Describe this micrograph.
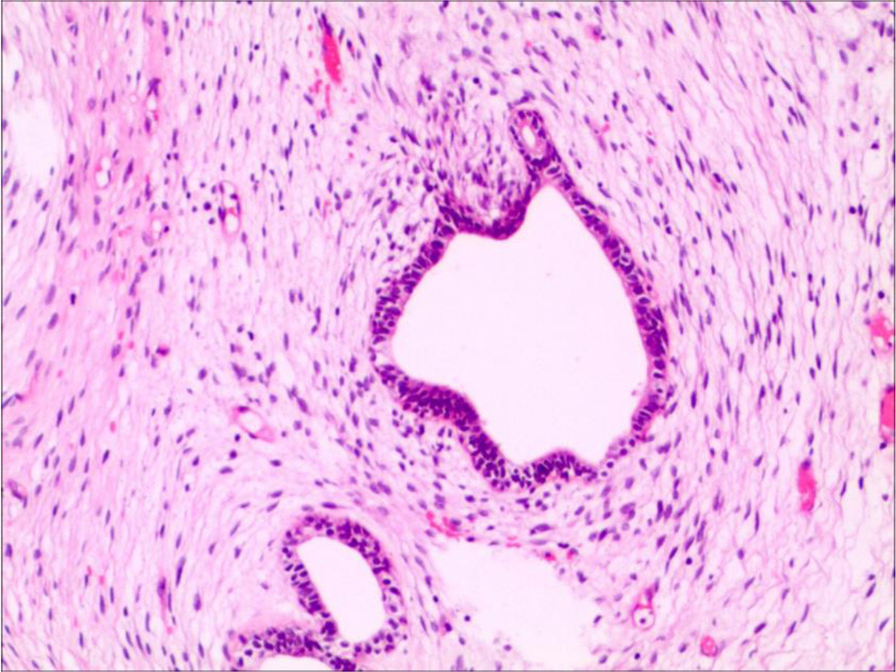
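This is an epithelial-stromal tumor with irregular-shaped benign glands set in an abundant, overgrown stroma. The stromal cells are packed most densely just beneath the glands, and small blood vessels with red blood cells are scattered through the stroma.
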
